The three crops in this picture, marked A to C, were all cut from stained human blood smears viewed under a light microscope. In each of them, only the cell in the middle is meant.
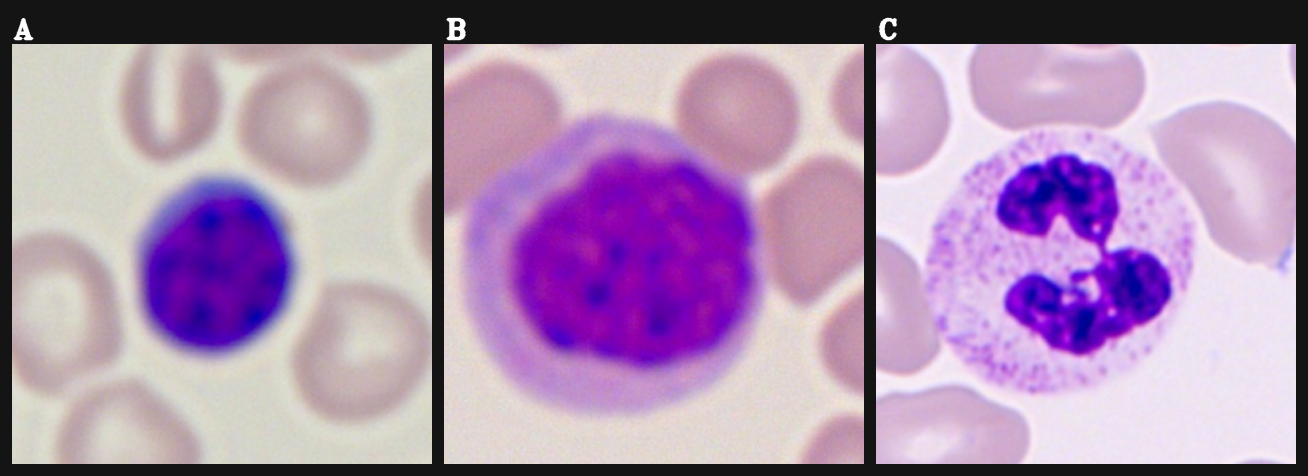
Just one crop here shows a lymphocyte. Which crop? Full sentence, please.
Crop A is the crop that displays a lymphocyte.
